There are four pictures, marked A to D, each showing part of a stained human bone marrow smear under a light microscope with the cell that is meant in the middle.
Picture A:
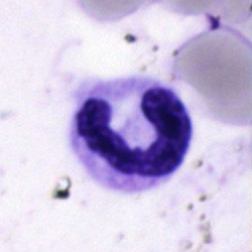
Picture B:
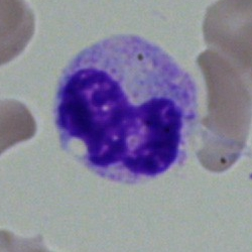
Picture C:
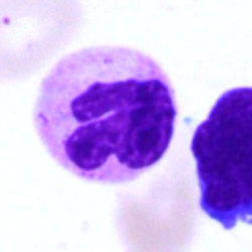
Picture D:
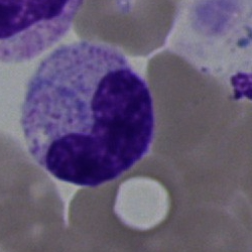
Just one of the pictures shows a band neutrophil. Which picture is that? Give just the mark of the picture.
D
